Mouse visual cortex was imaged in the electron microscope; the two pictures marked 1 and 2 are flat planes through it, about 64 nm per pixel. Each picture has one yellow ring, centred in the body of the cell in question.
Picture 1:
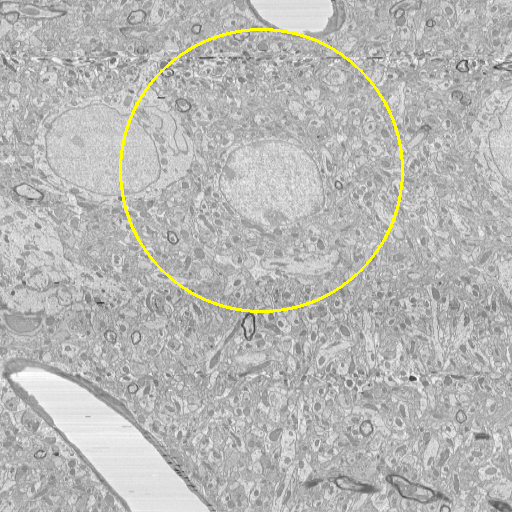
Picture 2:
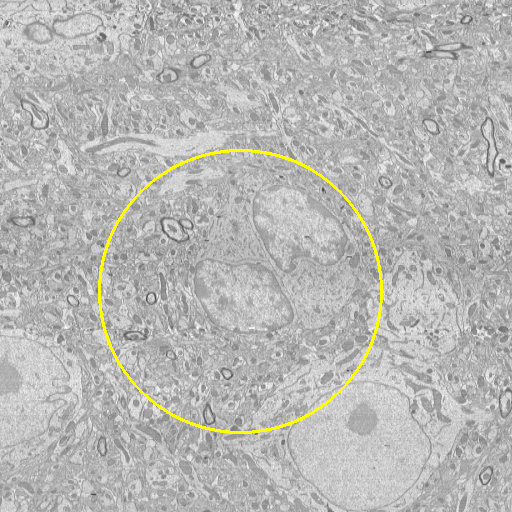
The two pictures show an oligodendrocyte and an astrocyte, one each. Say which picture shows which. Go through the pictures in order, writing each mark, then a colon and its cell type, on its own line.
1: astrocyte
2: oligodendrocyte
